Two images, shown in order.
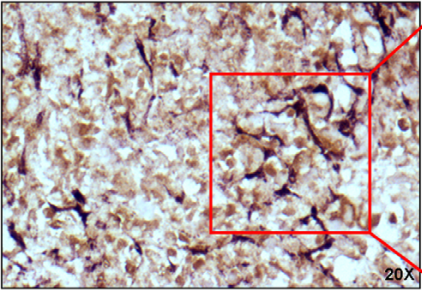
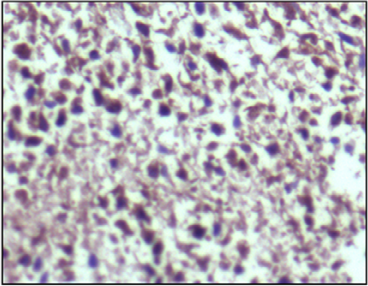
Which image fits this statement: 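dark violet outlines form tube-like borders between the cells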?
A: The first image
